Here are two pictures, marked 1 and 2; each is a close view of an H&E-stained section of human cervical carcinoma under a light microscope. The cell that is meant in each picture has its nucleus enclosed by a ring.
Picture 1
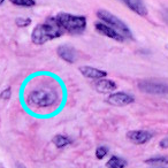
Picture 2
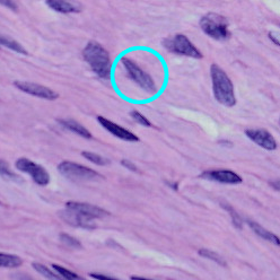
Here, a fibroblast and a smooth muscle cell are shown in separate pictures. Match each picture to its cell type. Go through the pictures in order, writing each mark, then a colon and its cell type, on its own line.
1: smooth muscle cell
2: fibroblast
